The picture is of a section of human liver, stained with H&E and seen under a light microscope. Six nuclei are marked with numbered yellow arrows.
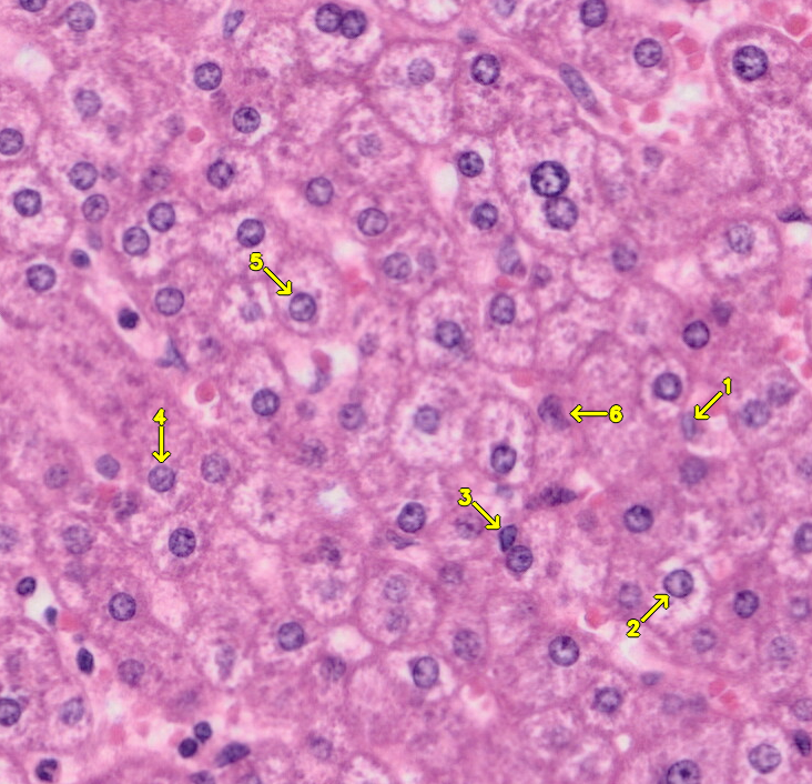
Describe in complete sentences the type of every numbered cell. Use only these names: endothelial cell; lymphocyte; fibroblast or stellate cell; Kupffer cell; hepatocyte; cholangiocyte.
Cell 1 is a Kupffer cell. Cells 2, 4 and 5 are hepatocytes. Cell 3 is a fibroblast or stellate cell. Cell 6 is an endothelial cell.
